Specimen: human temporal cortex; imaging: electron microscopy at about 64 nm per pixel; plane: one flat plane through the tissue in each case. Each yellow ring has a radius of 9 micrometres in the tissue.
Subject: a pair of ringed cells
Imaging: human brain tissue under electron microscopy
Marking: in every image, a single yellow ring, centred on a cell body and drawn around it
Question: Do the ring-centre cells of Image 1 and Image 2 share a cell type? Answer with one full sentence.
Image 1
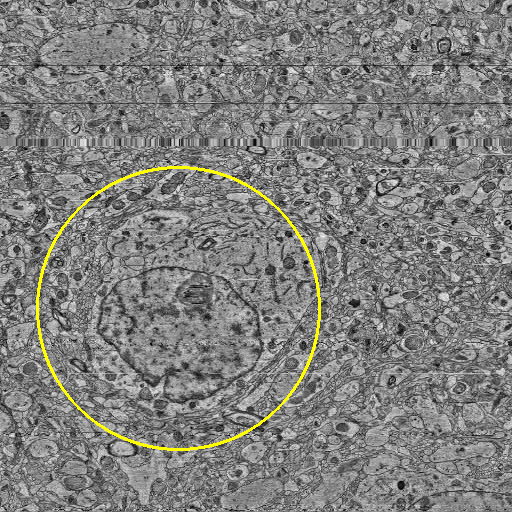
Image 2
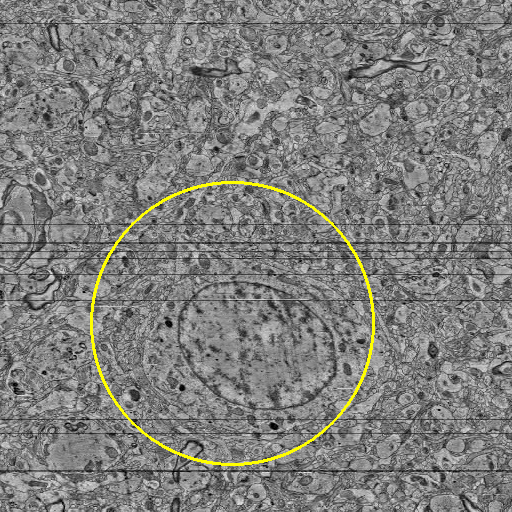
Yes, at each ring's centre in the images sits a cell of one common type.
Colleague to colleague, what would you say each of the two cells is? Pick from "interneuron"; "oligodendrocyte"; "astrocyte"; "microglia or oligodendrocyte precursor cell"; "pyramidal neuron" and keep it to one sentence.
Each of the two pictures has a pyramidal neuron at the ring centre.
